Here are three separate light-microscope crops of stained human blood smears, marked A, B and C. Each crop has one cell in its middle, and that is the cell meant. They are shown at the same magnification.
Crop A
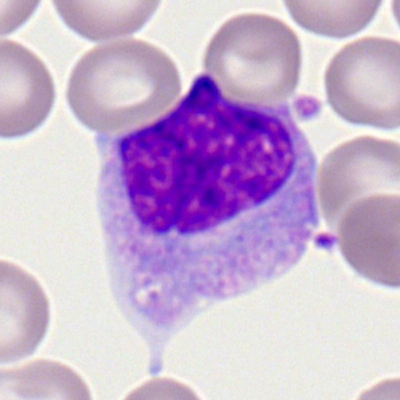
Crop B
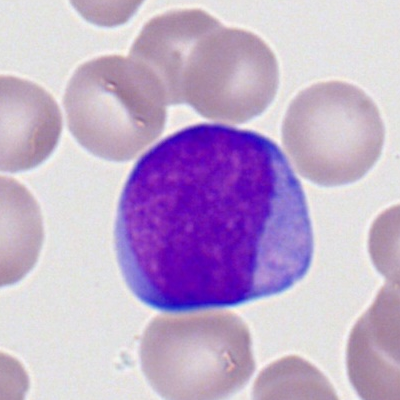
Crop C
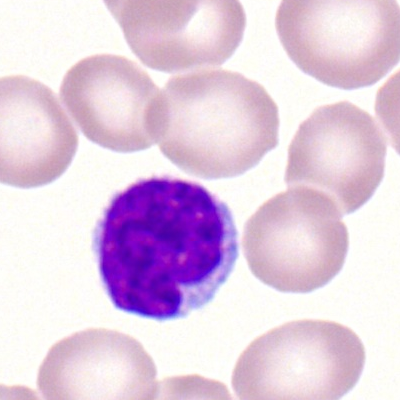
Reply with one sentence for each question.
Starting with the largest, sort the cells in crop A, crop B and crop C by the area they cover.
Going down, they run A, B, C.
